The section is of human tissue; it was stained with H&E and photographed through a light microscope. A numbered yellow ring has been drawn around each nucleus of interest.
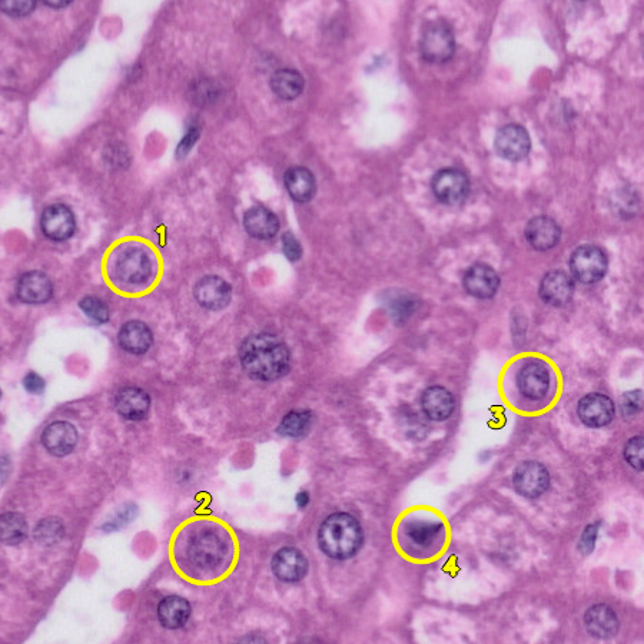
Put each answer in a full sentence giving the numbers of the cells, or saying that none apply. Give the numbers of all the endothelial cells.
Only the cell numbered 4 is an endothelial cell; none of the others is.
